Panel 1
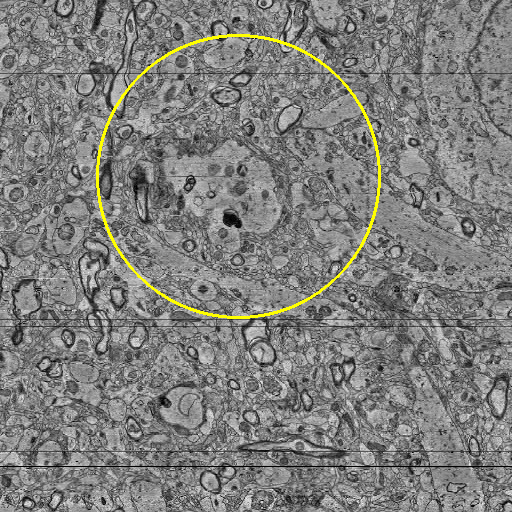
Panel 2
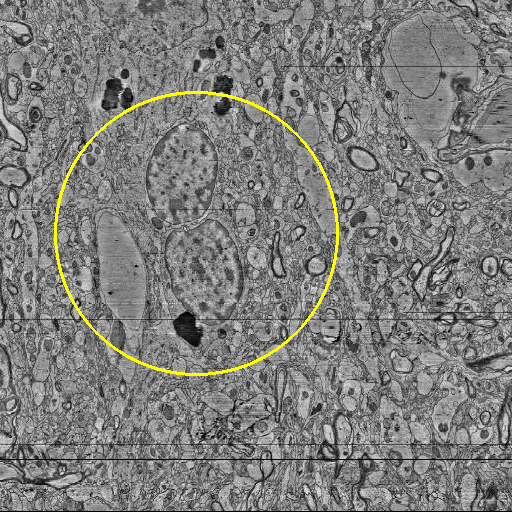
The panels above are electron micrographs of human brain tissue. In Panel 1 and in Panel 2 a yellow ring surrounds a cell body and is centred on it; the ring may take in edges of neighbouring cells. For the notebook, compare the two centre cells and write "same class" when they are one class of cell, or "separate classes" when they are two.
separate classes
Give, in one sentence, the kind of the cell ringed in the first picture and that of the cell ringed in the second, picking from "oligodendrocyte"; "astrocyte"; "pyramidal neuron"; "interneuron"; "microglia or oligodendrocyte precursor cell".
For the first picture it is a microglial cell or oligodendrocyte precursor cell; for the second, an oligodendrocyte.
